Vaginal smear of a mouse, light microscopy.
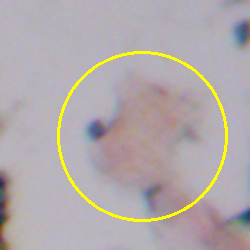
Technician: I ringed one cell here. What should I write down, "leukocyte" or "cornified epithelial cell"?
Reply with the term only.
cornified epithelial cell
